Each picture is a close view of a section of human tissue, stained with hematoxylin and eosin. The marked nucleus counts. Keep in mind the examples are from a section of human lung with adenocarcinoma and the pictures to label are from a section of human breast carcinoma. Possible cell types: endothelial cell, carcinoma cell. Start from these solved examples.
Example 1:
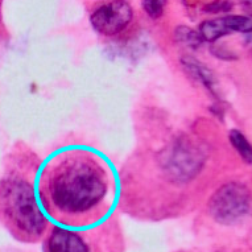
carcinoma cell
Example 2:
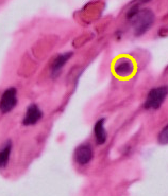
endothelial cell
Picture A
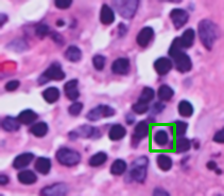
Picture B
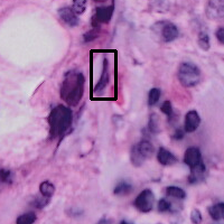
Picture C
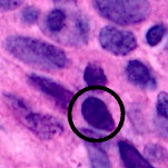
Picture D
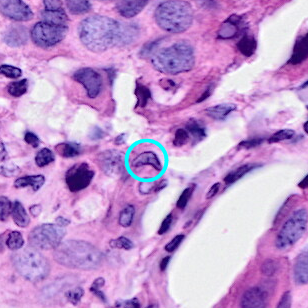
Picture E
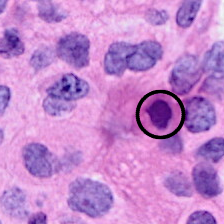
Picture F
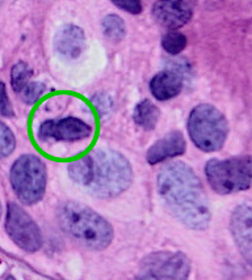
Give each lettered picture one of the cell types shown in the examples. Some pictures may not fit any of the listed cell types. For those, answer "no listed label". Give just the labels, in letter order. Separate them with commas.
no listed label, endothelial cell, carcinoma cell, endothelial cell, carcinoma cell, carcinoma cell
